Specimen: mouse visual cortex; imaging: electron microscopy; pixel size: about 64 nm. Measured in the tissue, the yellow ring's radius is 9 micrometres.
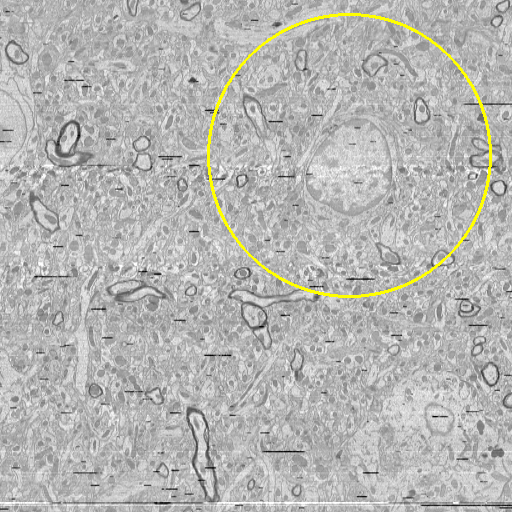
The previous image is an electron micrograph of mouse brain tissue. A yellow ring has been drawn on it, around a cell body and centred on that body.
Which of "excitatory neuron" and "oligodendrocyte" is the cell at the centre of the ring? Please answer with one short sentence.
The cell body at the centre of the ring belongs to an oligodendrocyte.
